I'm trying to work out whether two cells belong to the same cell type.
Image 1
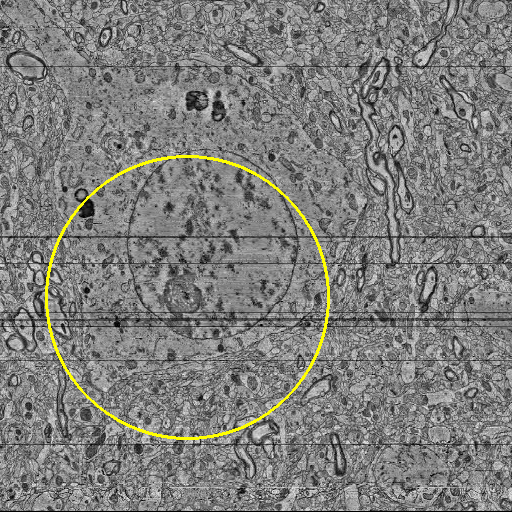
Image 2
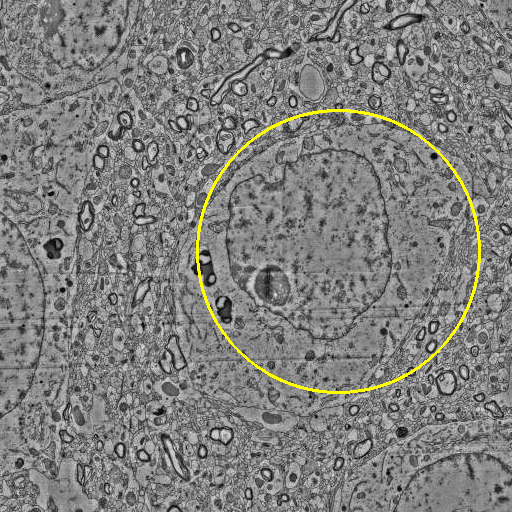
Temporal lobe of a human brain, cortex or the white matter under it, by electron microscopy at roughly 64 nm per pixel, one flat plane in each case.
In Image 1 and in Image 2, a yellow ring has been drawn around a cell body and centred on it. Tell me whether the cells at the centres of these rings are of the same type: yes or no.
yes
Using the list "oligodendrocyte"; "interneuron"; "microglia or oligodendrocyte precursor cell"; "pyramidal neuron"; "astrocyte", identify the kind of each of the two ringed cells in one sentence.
The second cell is a pyramidal neuron, just as the first is.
